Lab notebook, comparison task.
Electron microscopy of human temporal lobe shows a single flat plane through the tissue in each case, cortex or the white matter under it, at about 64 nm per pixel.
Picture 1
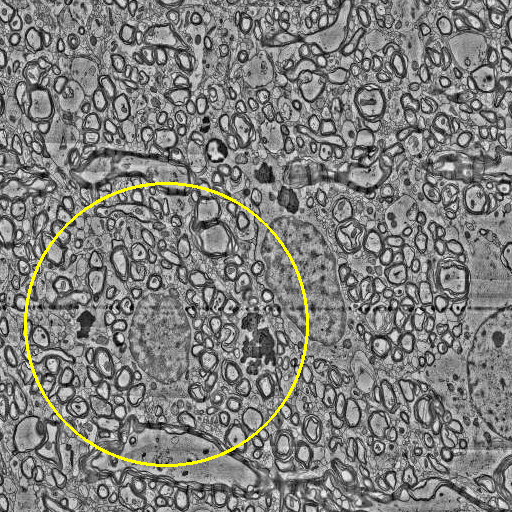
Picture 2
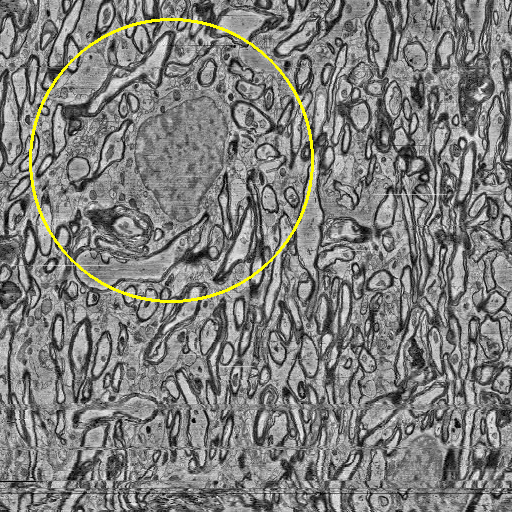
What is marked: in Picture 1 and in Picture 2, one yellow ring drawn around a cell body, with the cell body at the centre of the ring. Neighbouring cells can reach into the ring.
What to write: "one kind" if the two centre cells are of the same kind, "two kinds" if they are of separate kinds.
one kind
